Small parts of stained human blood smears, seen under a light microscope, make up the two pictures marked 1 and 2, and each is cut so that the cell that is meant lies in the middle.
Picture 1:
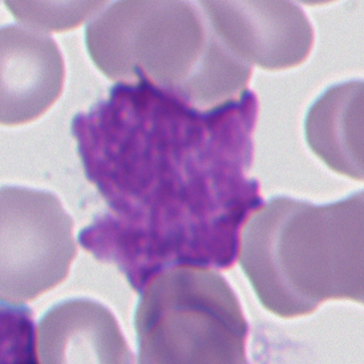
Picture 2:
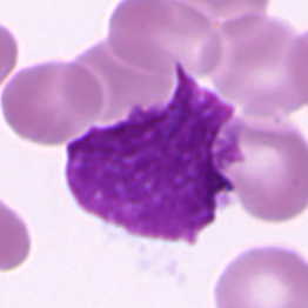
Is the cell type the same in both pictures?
yes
